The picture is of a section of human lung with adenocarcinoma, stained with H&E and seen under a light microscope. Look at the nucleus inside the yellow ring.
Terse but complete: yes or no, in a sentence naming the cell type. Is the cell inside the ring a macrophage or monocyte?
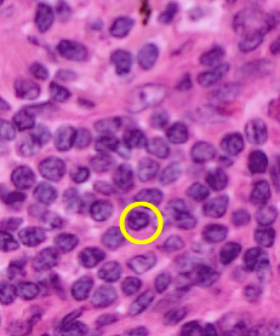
No, the cell inside the ring is a lymphocyte; it is not a macrophage or monocyte.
